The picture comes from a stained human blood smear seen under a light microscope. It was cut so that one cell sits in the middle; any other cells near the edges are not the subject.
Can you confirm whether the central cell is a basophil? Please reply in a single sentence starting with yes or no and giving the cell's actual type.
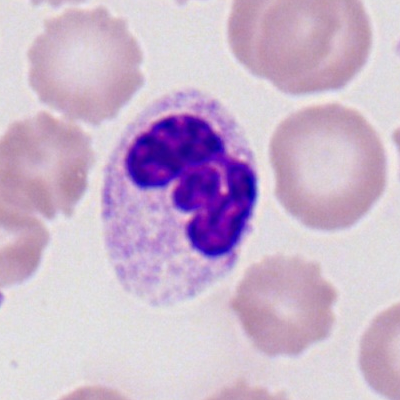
No, the centre of the crop is taken up by a neutrophil, not a basophil.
